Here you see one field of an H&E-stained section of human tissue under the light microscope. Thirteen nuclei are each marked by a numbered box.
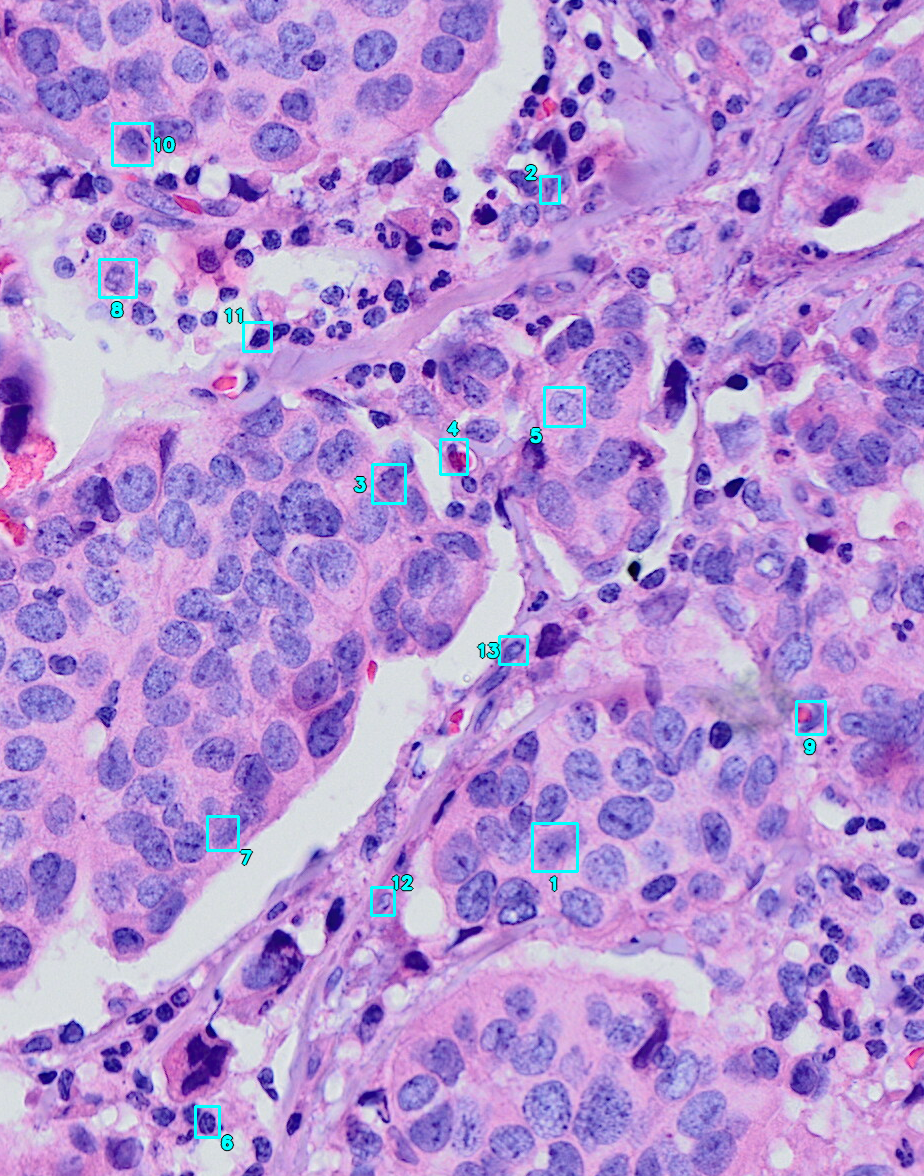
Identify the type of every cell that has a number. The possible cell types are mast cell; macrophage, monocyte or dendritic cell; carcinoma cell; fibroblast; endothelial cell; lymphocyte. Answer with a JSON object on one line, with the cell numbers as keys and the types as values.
{"1": "carcinoma cell", "2": "endothelial cell", "3": "carcinoma cell", "4": "endothelial cell", "5": "carcinoma cell", "6": "lymphocyte", "7": "carcinoma cell", "8": "macrophage, monocyte or dendritic cell", "9": "endothelial cell", "10": "carcinoma cell", "11": "lymphocyte", "12": "endothelial cell", "13": "endothelial cell"}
